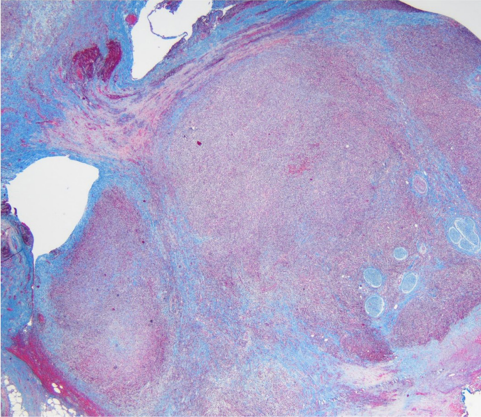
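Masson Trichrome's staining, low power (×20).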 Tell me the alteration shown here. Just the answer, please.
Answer: Nodular configuration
